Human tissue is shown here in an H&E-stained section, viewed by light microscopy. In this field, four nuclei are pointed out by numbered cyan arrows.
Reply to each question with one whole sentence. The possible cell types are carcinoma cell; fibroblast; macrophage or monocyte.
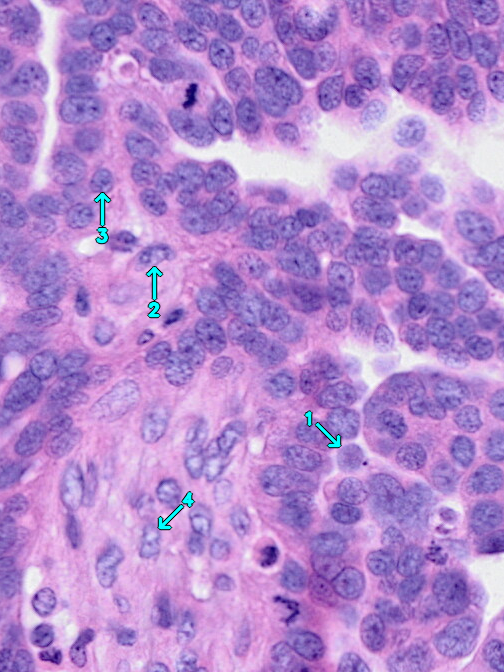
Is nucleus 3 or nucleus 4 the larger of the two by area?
Of the two, number 4 is bigger and takes up about 1.5 times the area of number 3.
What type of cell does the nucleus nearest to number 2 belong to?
The cell nearest to number 2 is a macrophage or monocyte.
